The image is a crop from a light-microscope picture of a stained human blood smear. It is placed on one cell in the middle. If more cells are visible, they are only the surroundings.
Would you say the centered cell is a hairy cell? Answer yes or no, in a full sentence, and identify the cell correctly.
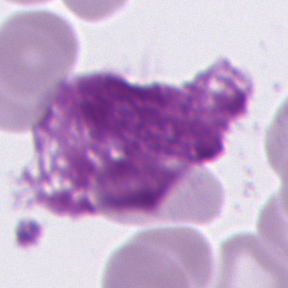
No, the central cell does not represent a hairy cell, but a smudge cell.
